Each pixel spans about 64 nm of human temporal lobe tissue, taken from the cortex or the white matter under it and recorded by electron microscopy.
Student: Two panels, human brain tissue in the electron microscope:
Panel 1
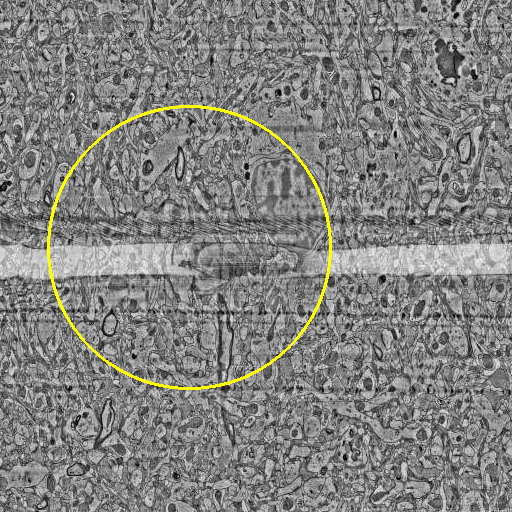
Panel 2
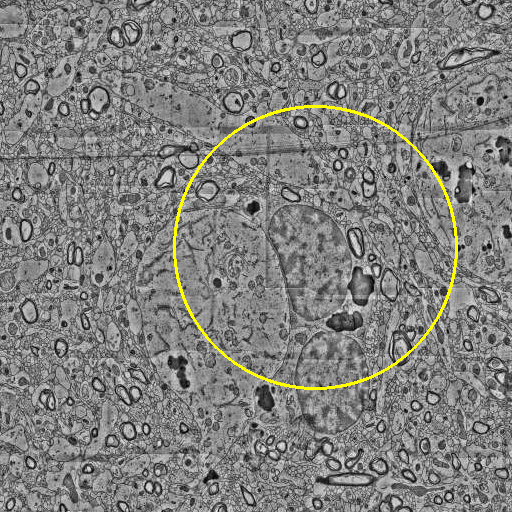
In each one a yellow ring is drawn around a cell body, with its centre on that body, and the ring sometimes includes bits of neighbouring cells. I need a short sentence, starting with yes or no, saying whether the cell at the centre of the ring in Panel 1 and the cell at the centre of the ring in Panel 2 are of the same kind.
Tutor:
No, they are two kinds of cell.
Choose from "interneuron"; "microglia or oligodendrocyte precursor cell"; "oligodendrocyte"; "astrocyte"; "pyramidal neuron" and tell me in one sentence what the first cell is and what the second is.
What the first ring is centred on is an astrocyte; what the second ring is centred on is an oligodendrocyte.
